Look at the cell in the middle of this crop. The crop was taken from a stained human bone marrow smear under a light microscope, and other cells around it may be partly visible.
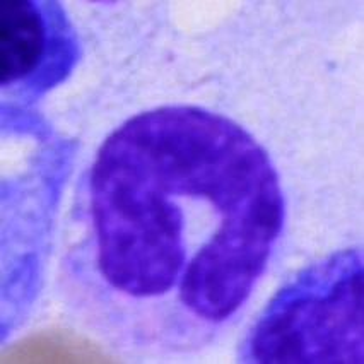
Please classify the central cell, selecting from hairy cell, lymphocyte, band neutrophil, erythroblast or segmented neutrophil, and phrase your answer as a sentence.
The crop shows a band neutrophil in its centre.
